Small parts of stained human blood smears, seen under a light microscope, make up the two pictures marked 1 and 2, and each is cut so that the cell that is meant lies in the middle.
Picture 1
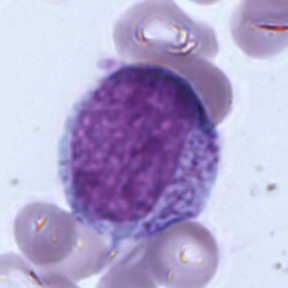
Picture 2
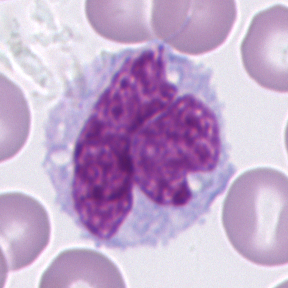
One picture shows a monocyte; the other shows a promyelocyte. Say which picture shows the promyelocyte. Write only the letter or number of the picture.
1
